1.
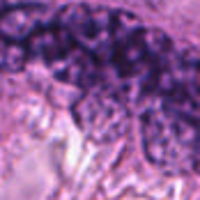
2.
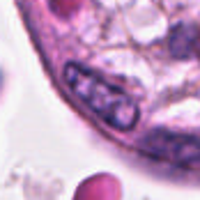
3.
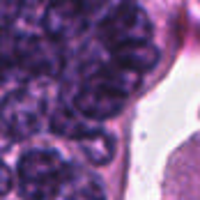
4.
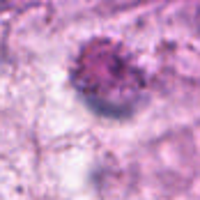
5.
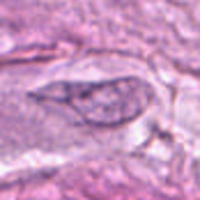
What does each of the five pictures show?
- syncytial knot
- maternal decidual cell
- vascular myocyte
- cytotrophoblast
Picture 1: syncytial knot
Picture 2: cytotrophoblast
Picture 3: syncytial knot
Picture 4: vascular myocyte
Picture 5: maternal decidual cell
